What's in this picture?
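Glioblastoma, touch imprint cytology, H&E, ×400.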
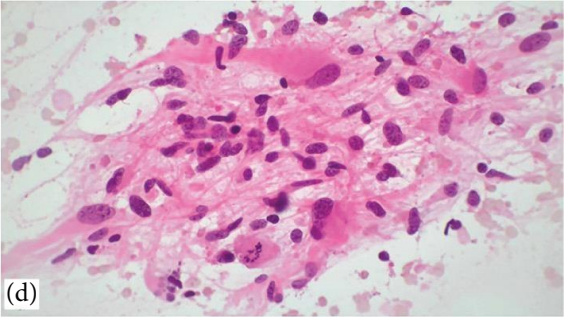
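Look at the nuclei: they differ a great deal from one another, some oval, some elongated and spindle-like, a few bent or irregular, and some clearly larger than their neighbours. Their chromatin is purple and fairly coarse. The cytoplasm is hard to separate from the pink fibrillary strands that run between the cells, giving the group a wispy, tangled look. Around the cluster lie scattered pale red blood cells.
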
